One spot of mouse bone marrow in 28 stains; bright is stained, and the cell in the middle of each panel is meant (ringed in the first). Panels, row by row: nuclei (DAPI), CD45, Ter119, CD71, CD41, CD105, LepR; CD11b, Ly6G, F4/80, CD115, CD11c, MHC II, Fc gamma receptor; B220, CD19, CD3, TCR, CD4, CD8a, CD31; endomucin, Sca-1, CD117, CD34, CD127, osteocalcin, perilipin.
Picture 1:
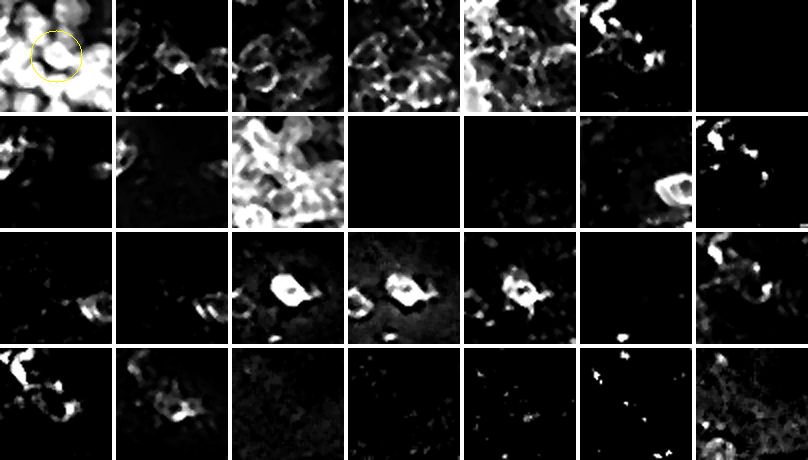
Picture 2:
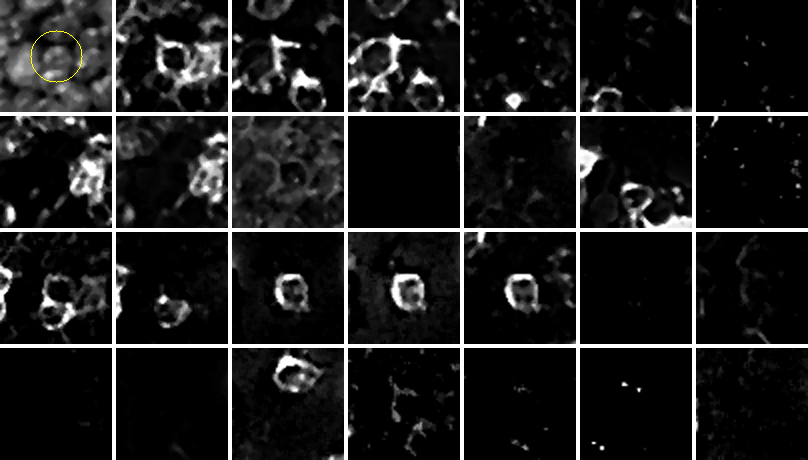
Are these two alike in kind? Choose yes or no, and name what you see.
Yes. CD4 T cells.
